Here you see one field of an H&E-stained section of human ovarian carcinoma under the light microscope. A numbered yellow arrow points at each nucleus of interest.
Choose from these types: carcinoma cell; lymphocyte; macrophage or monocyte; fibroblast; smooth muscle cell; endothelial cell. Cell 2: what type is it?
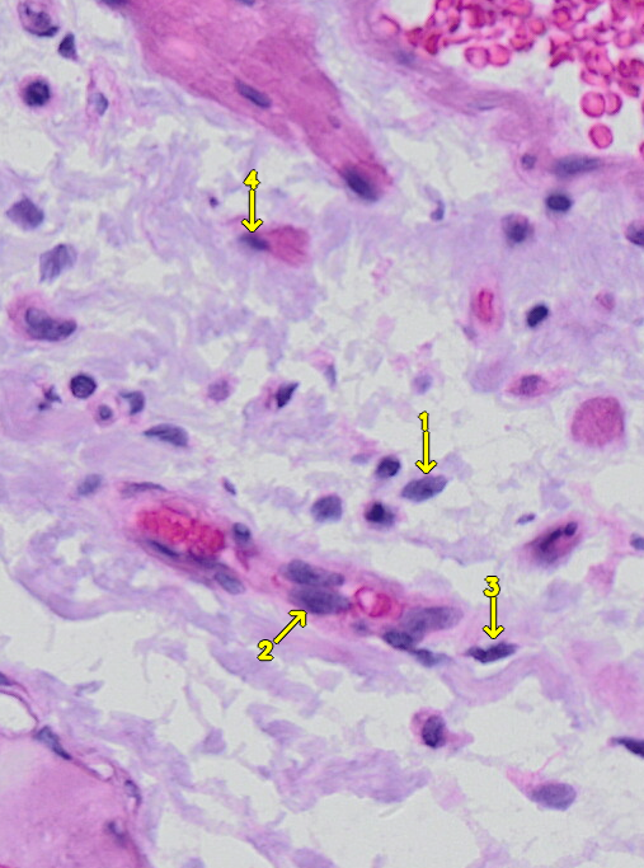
endothelial cell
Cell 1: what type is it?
fibroblast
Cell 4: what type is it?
smooth muscle cell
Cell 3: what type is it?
fibroblast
